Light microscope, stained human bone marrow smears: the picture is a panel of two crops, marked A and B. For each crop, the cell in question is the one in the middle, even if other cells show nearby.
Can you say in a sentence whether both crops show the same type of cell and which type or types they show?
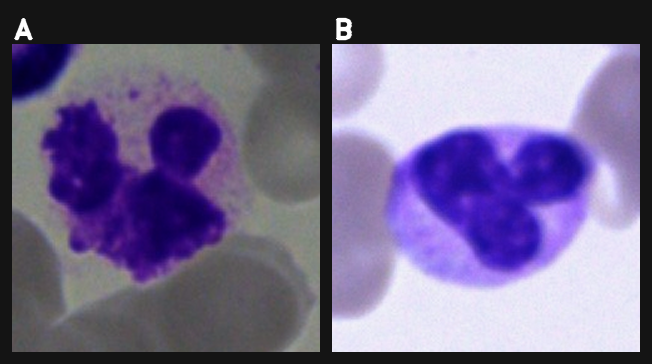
No, a basophil is shown in crop A and a segmented neutrophil in crop B.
